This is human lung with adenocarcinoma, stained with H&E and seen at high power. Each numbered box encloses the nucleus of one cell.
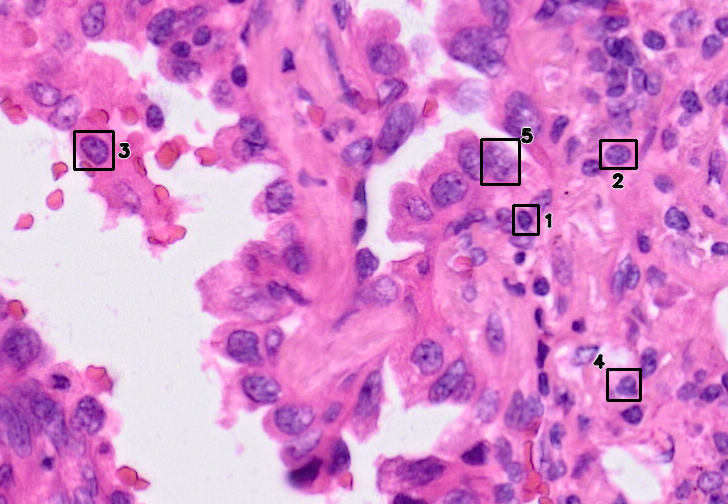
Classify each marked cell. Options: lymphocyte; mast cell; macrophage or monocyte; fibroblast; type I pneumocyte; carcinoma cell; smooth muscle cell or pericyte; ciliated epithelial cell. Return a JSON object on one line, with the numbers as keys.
{"1": "lymphocyte", "2": "mast cell", "3": "macrophage or monocyte", "4": "lymphocyte", "5": "carcinoma cell"}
